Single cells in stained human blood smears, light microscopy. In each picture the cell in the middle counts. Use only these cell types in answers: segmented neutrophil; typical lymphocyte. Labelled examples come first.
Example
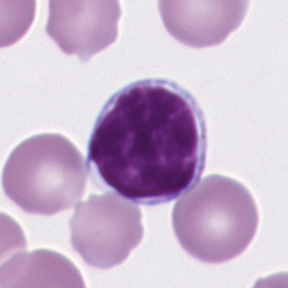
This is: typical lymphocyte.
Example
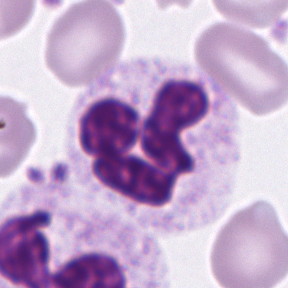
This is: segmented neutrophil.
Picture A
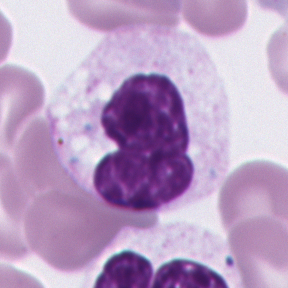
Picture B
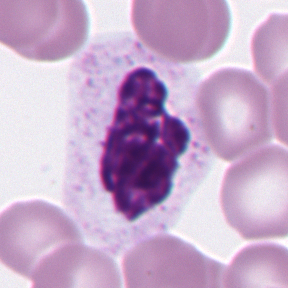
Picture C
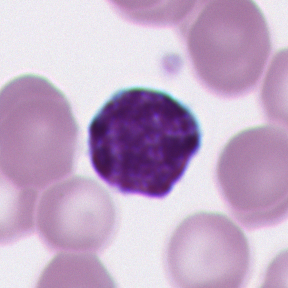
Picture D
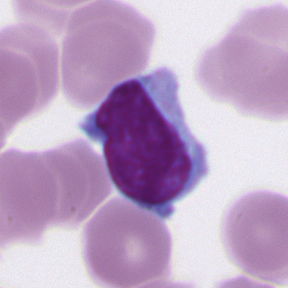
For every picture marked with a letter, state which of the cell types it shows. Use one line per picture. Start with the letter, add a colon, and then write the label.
A: segmented neutrophil.
B: segmented neutrophil.
C: typical lymphocyte.
D: typical lymphocyte.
